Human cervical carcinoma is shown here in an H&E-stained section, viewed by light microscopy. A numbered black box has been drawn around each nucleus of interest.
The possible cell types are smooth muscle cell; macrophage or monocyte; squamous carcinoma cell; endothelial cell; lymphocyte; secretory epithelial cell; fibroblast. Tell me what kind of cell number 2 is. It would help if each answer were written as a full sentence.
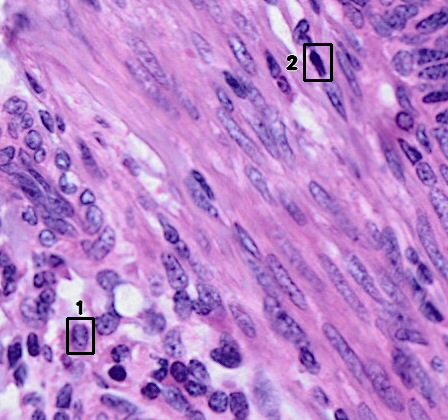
The cell carrying label 2 is identified as a lymphocyte.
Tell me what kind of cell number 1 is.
The cell numbered 1 represents a macrophage or monocyte.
